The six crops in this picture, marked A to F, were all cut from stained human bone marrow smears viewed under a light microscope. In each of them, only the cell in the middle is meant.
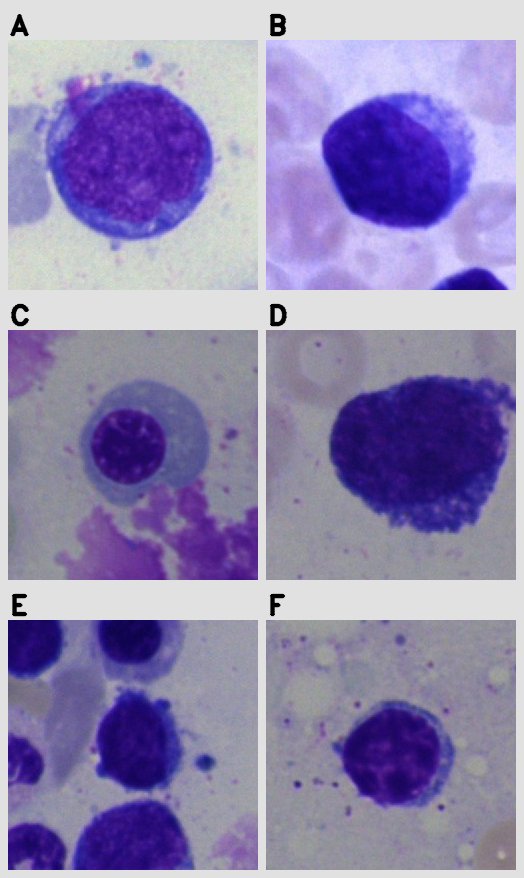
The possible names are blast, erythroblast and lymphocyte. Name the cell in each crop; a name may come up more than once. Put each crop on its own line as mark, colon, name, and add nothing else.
A: blast
B: blast
C: erythroblast
D: blast
E: lymphocyte
F: lymphocyte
